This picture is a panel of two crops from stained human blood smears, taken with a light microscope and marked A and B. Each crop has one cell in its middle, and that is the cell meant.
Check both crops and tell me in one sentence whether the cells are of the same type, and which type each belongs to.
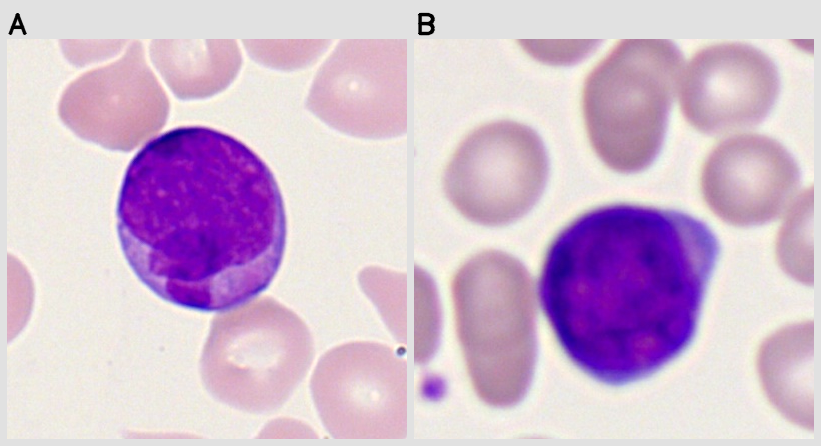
Yes, blasts occupy the centre of both crops.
